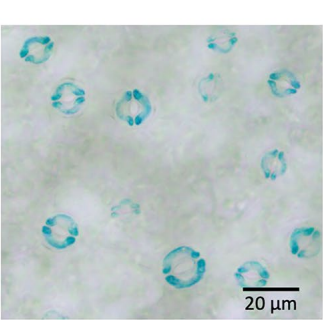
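The surrounding pavement epidermis shows essentially no blue. The stomata are spaced apart from one another and vary somewhat in size.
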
